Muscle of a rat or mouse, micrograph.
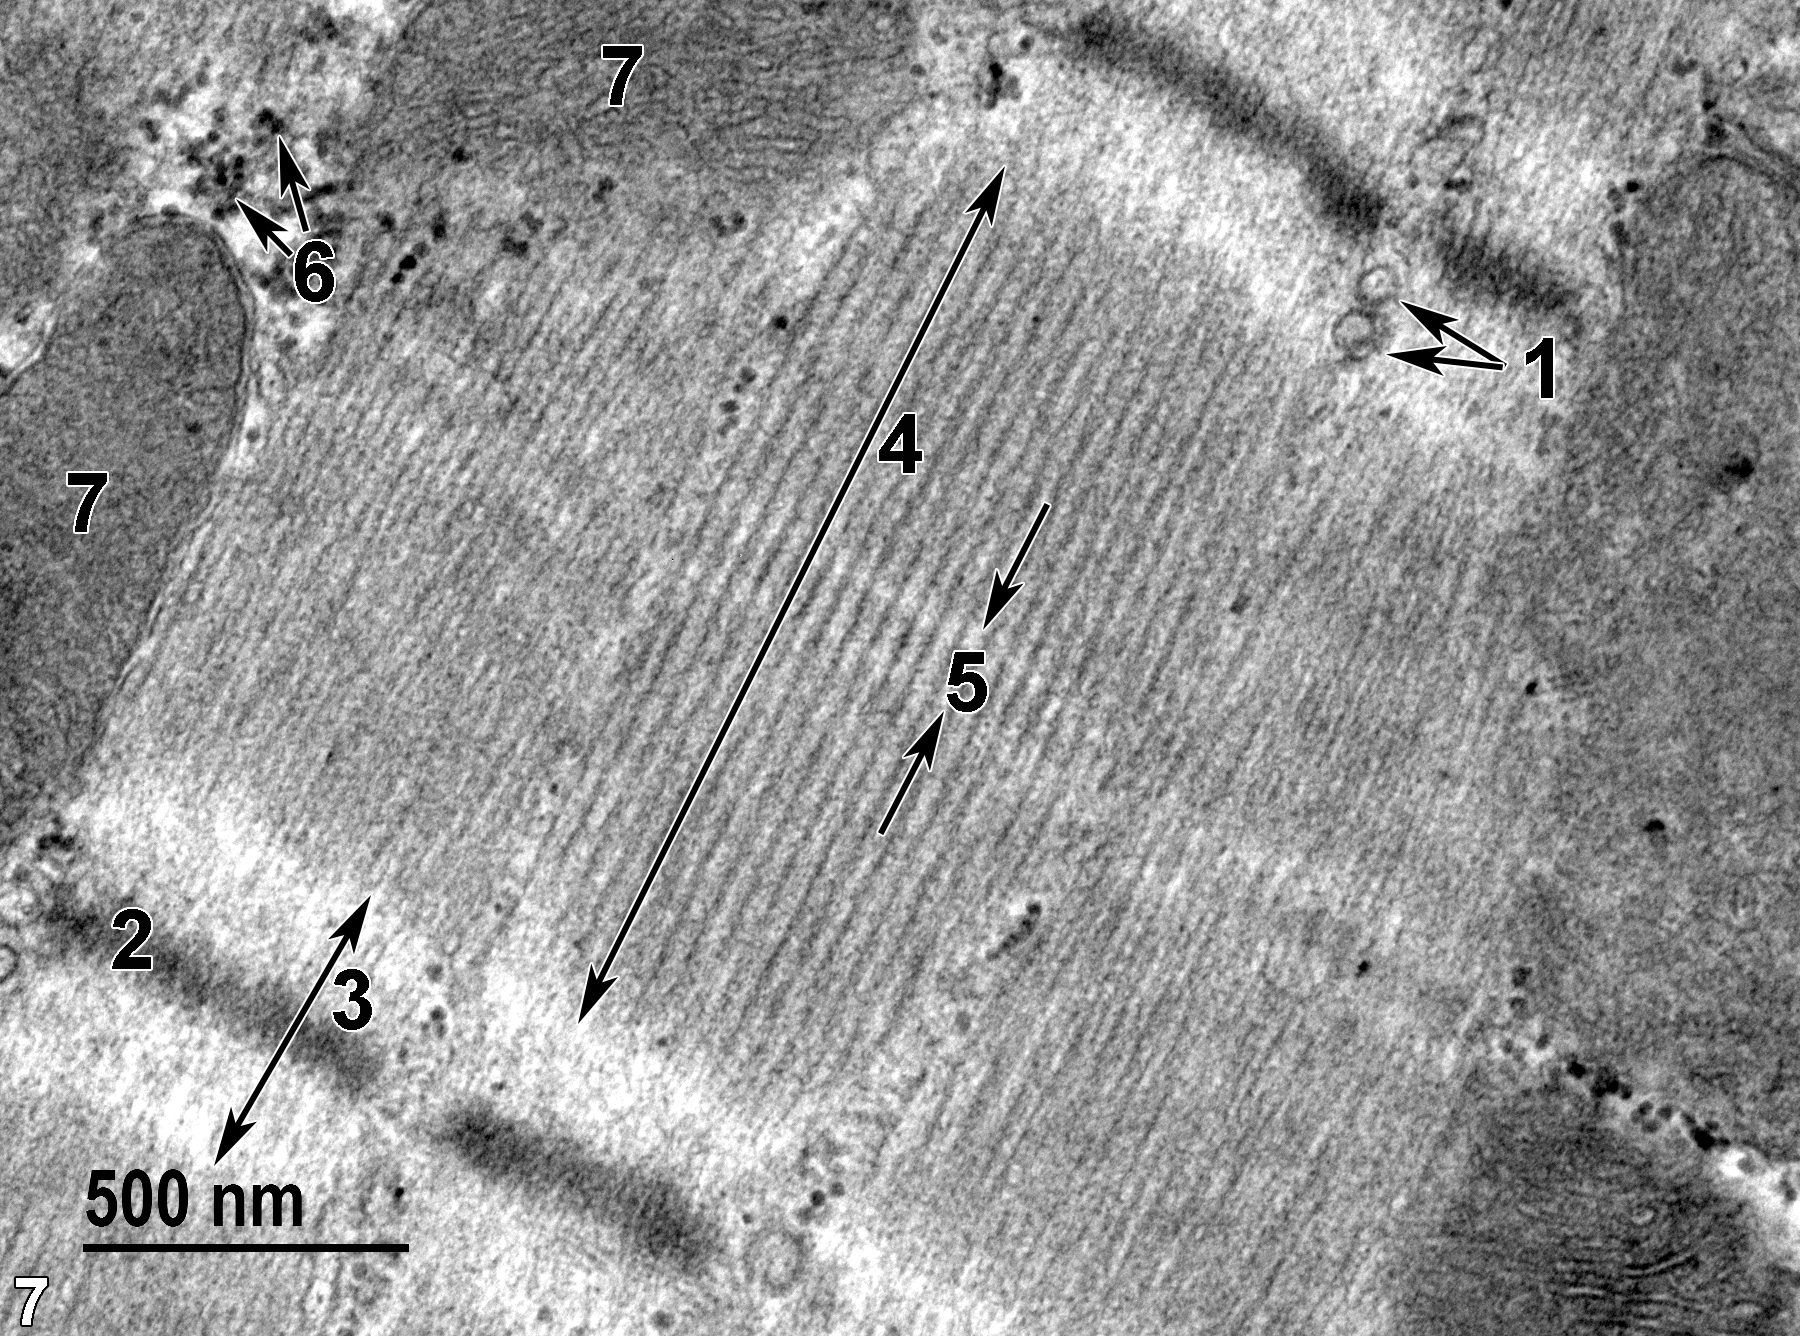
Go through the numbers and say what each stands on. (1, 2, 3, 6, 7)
1 T tubules
2 Z line
3 I band
6 glycogen
7 mitochondria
